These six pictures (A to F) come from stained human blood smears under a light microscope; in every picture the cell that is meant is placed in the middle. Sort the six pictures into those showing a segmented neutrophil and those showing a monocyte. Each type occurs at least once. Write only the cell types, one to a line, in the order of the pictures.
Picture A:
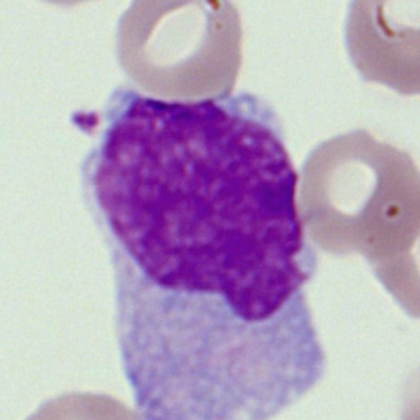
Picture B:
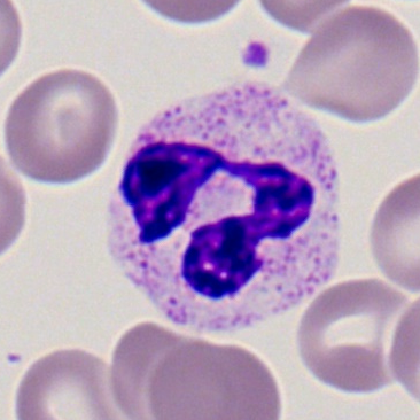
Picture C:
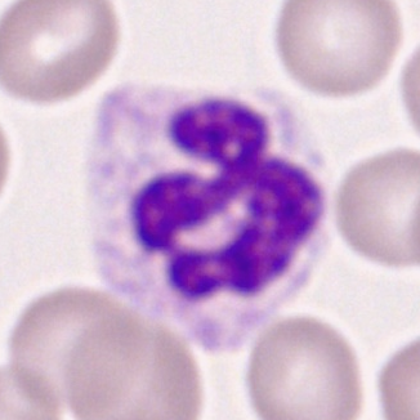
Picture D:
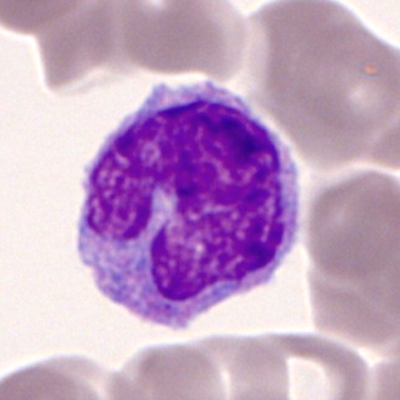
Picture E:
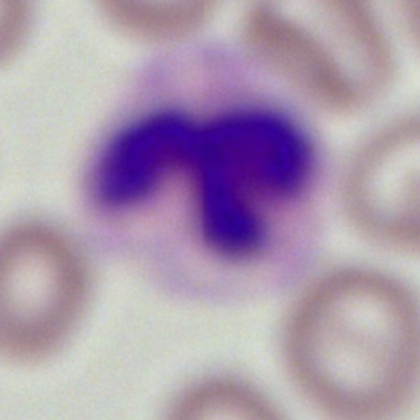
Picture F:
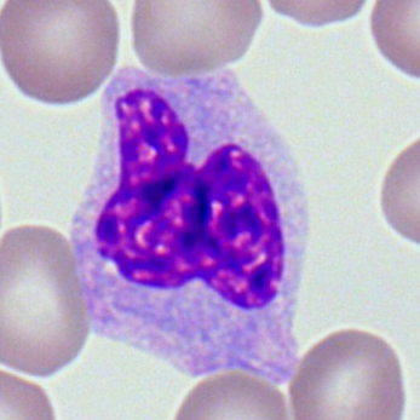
monocyte
segmented neutrophil
segmented neutrophil
monocyte
segmented neutrophil
monocyte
